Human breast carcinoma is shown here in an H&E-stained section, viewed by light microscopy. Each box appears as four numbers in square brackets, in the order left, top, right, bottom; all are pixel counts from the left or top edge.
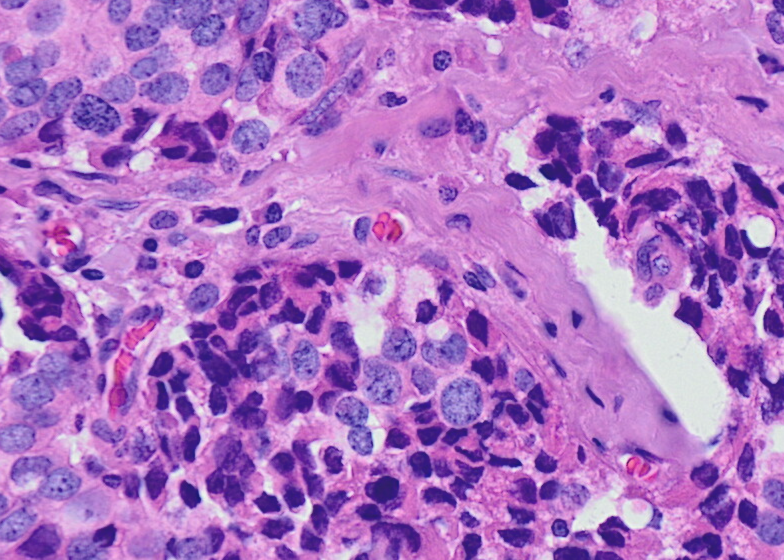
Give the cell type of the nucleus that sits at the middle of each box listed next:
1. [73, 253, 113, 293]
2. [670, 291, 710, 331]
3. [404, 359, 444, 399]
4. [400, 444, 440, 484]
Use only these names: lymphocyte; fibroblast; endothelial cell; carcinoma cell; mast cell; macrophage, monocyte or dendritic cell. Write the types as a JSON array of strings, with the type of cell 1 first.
["lymphocyte", "carcinoma cell", "carcinoma cell", "carcinoma cell"]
